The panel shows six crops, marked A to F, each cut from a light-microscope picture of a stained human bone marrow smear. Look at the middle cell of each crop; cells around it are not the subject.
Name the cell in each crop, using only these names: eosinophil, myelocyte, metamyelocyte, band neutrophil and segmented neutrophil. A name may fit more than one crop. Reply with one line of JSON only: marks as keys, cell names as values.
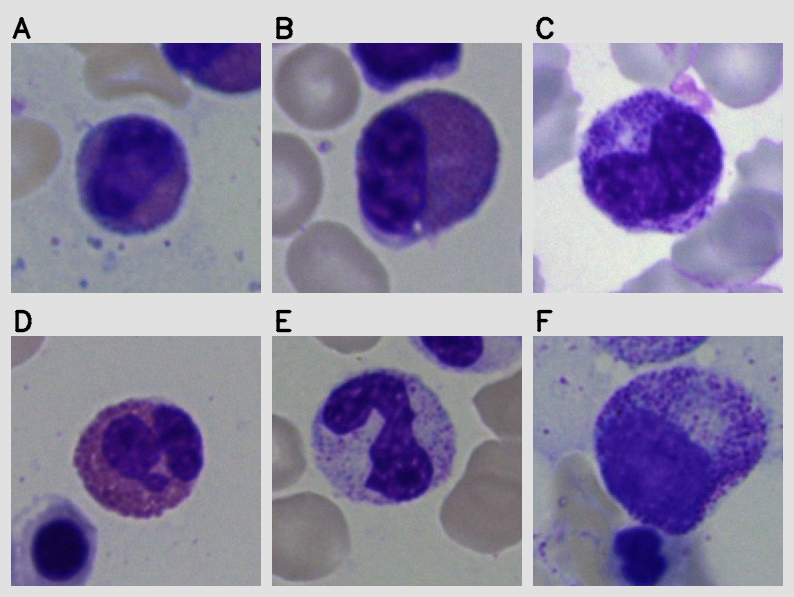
{"A": "eosinophil", "B": "eosinophil", "C": "metamyelocyte", "D": "eosinophil", "E": "band neutrophil", "F": "myelocyte"}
